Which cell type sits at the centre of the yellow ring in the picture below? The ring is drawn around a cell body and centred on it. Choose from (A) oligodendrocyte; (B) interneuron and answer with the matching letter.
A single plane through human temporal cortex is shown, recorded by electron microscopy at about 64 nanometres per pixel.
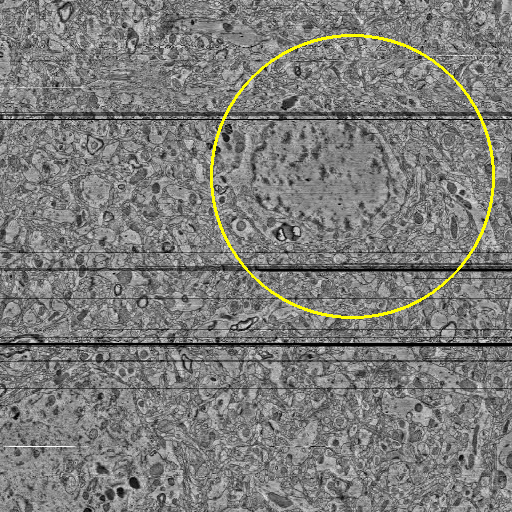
B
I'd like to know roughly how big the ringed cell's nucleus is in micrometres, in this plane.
In this plane the ringed cell's nucleus is roughly 9 micrometres across.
